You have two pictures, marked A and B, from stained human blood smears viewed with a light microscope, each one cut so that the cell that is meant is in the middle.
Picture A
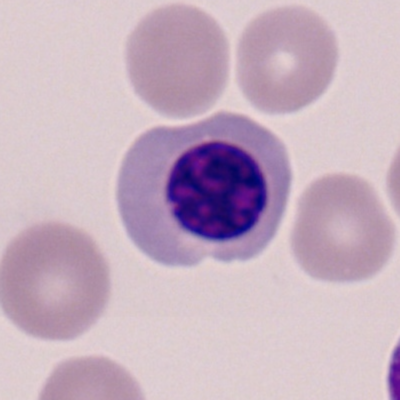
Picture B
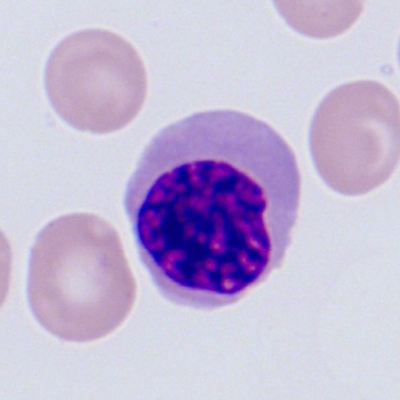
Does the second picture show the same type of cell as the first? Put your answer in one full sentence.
Yes, both cells are erythroblasts.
